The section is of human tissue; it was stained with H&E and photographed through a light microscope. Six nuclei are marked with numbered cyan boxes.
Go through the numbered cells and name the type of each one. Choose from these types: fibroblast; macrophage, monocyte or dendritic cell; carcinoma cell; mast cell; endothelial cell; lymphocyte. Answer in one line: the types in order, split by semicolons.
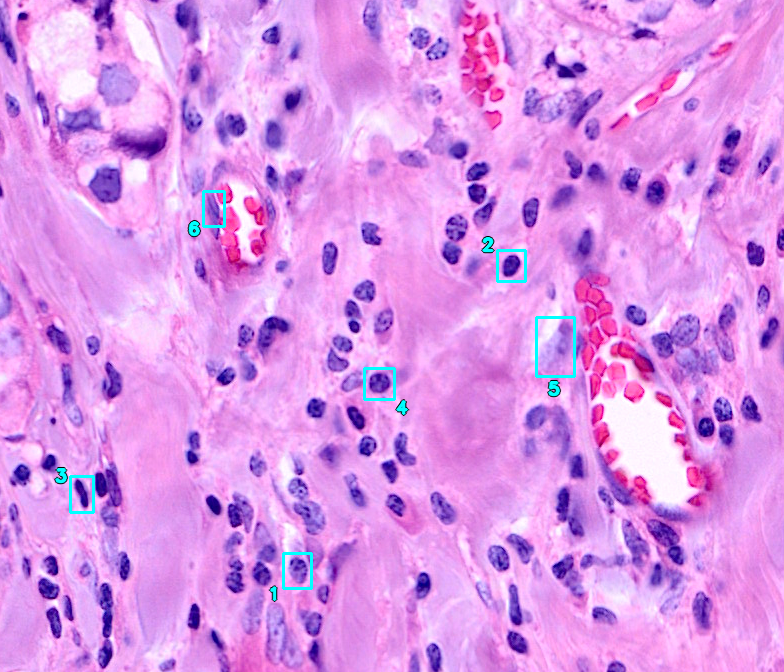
lymphocyte; lymphocyte; lymphocyte; lymphocyte; fibroblast; endothelial cell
